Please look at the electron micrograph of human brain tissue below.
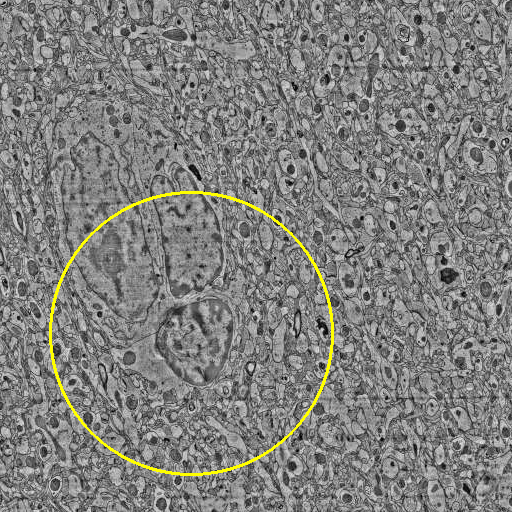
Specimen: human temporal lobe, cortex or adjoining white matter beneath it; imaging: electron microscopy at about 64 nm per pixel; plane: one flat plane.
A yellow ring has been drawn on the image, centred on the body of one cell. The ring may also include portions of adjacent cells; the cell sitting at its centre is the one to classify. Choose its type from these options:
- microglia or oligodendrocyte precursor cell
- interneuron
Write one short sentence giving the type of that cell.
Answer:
The cell in the middle of the ring is a microglial cell or oligodendrocyte precursor cell.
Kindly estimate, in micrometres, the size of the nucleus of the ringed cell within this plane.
Roughly 6 micrometres by 5 micrometres, in this plane.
